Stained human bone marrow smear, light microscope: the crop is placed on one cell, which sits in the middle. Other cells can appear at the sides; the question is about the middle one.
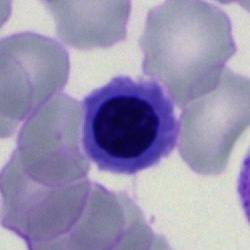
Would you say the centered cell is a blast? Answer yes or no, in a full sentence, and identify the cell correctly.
No, the cell at the centre of the crop is an erythroblast and not a blast.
